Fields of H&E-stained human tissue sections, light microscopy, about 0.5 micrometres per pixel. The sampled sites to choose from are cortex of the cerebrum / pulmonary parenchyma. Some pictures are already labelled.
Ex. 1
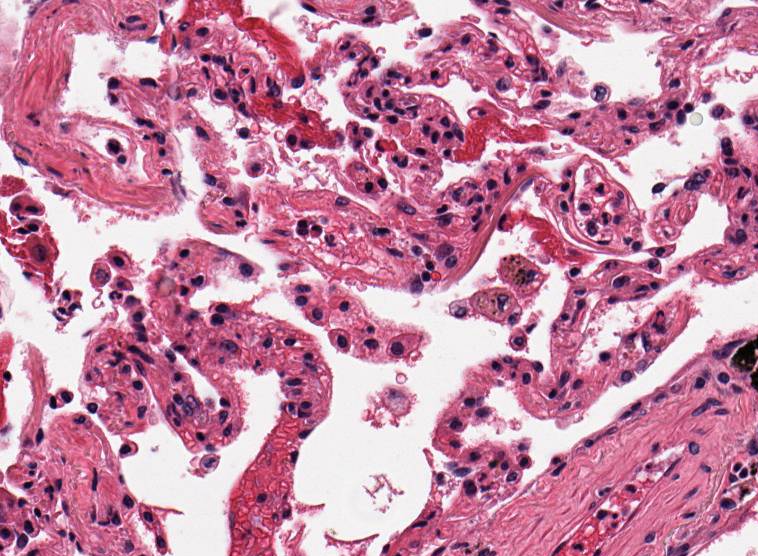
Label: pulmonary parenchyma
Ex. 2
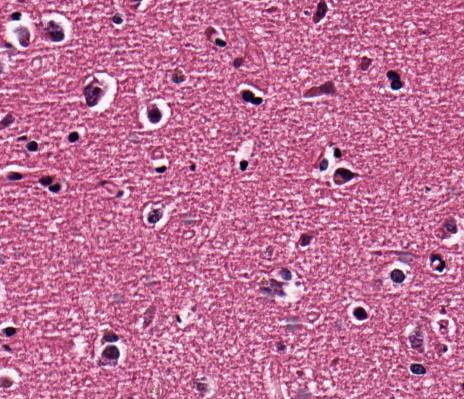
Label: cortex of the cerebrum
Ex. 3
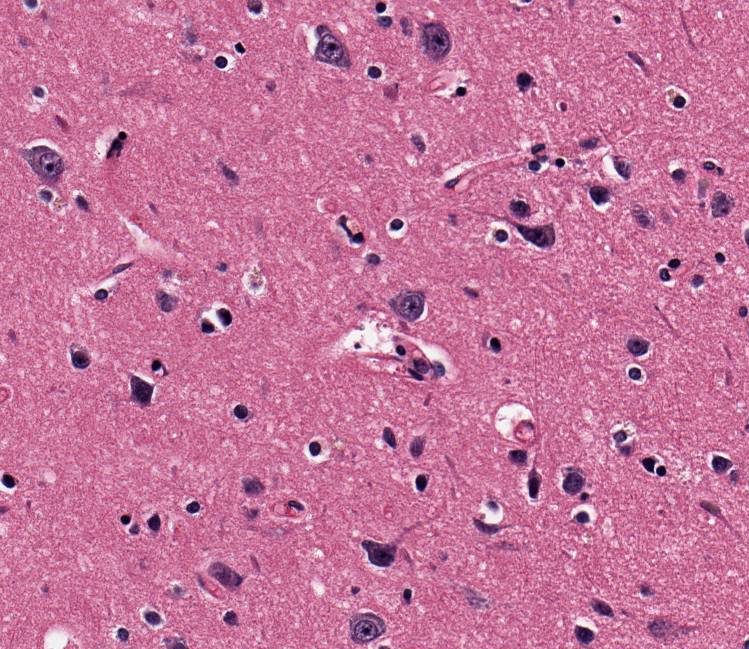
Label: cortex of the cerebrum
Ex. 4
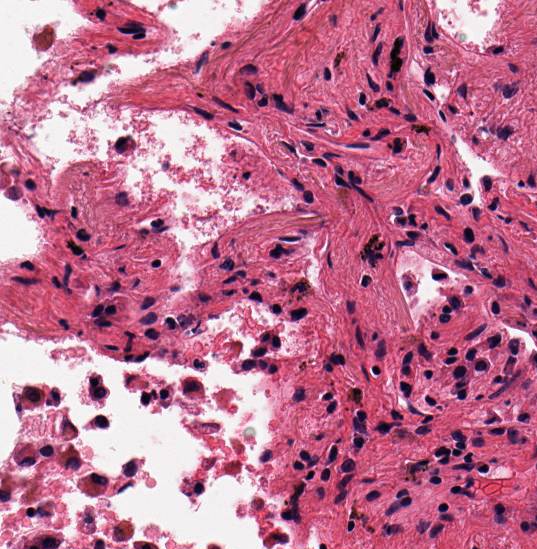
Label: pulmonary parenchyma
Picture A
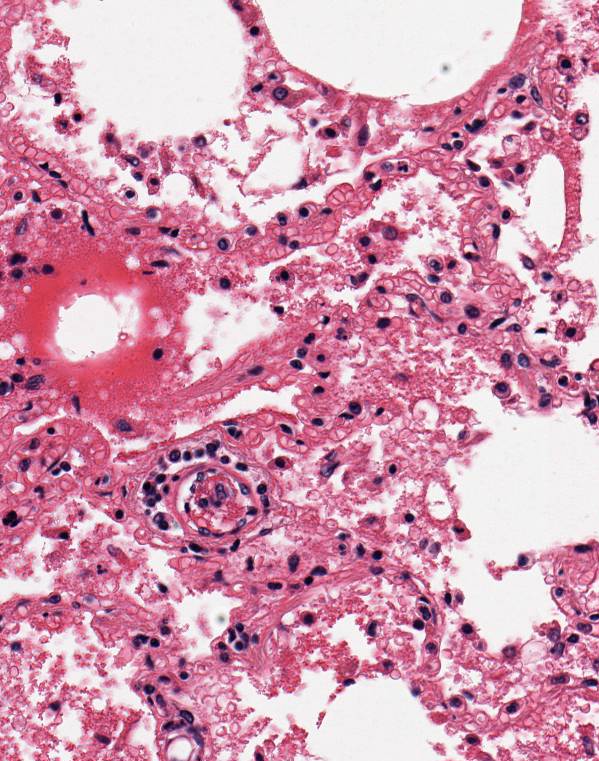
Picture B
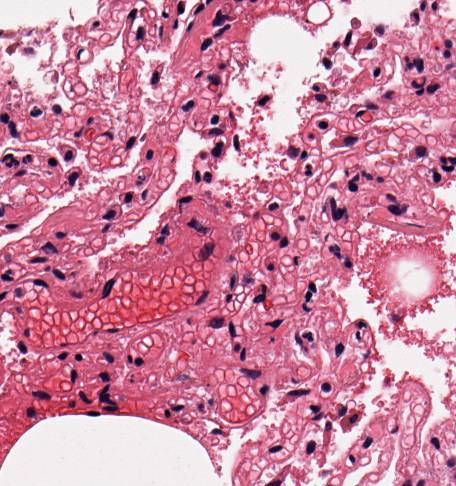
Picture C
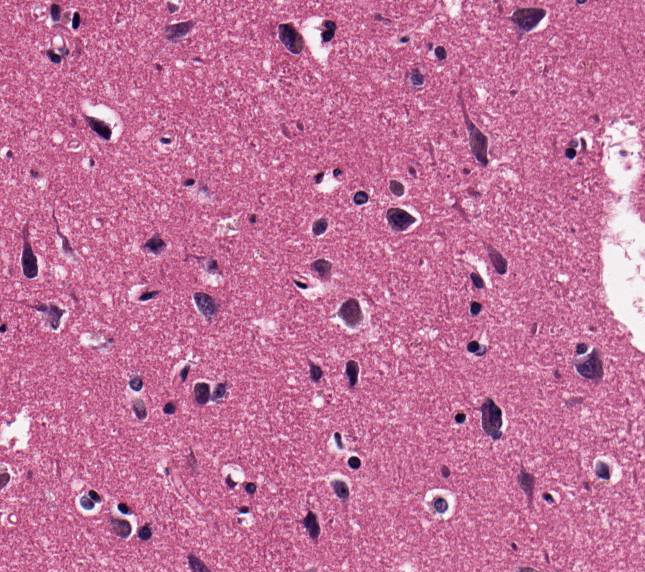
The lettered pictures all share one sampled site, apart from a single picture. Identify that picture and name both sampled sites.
C: cortex of the cerebrum; all the others: pulmonary parenchyma.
